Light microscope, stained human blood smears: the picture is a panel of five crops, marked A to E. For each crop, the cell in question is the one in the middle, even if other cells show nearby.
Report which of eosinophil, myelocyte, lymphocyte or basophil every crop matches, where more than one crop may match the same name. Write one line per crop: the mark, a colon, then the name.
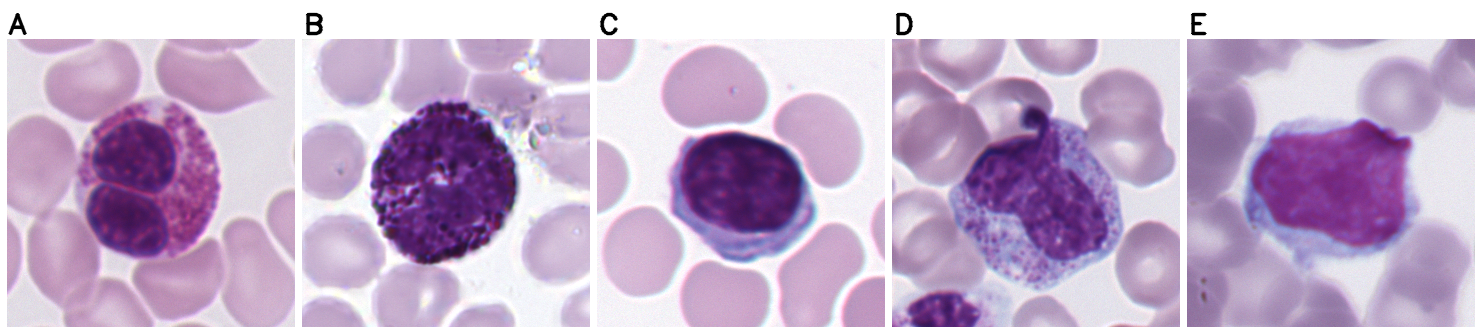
A: eosinophil
B: basophil
C: lymphocyte
D: myelocyte
E: lymphocyte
